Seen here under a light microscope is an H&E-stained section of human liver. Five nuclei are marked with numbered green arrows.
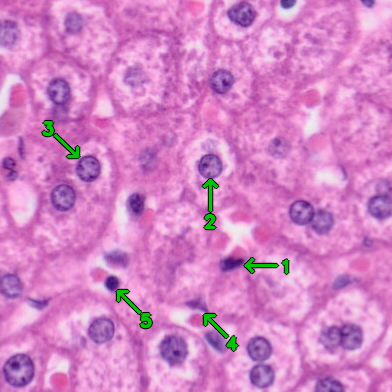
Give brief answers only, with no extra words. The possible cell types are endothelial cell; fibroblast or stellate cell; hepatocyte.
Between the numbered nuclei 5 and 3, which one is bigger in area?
3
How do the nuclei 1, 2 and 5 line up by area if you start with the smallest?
5, 1, 2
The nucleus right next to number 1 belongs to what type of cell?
endothelial cell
